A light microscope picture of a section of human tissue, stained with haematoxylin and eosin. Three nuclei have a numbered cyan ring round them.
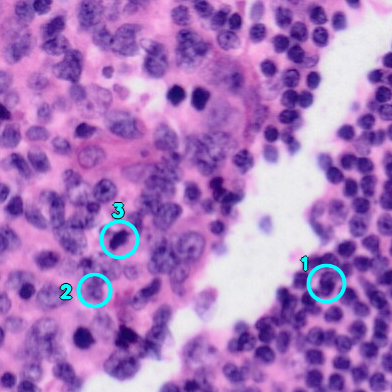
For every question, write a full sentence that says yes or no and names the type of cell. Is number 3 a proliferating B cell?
Yes, on this slide, the cell with number 3 is a proliferating B cell.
